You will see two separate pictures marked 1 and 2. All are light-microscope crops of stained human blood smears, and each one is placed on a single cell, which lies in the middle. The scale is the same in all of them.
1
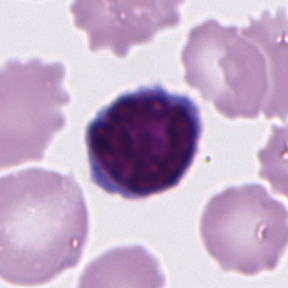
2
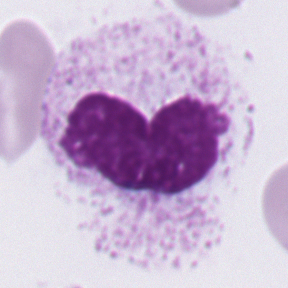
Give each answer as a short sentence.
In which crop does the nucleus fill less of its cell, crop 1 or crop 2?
The nucleus fills less of the cell in crop 2 than in crop 1.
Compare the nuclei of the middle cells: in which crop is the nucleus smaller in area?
Smaller is the nucleus in crop 1, and the other is about 1.5 times as large in area.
